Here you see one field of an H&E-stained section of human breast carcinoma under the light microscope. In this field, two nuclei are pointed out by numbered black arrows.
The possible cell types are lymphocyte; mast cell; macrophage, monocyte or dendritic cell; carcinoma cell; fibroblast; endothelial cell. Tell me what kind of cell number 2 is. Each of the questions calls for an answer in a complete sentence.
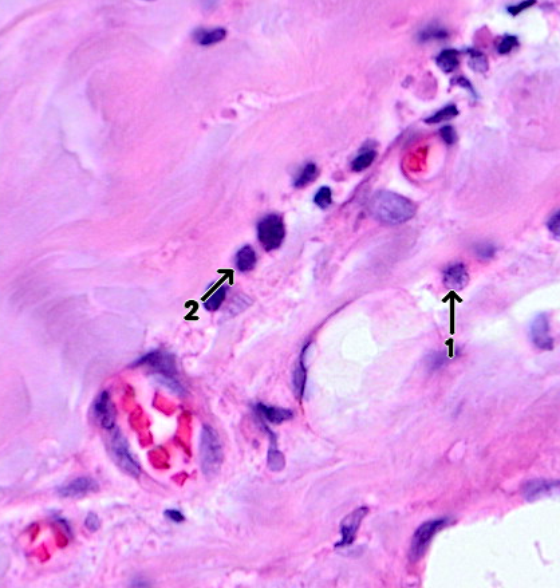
The cell that carries the label 2 is a lymphocyte.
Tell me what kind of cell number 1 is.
Number 1 among the marked cells is a mast cell.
